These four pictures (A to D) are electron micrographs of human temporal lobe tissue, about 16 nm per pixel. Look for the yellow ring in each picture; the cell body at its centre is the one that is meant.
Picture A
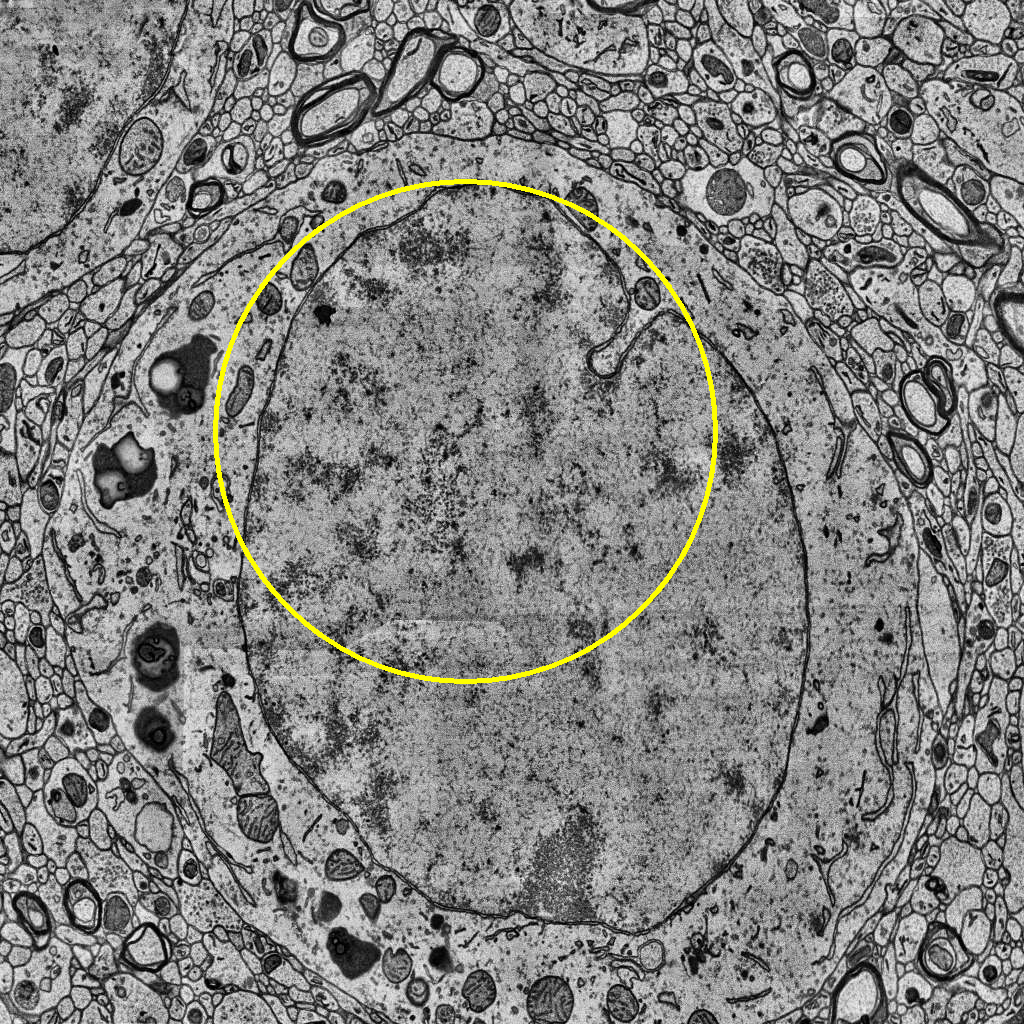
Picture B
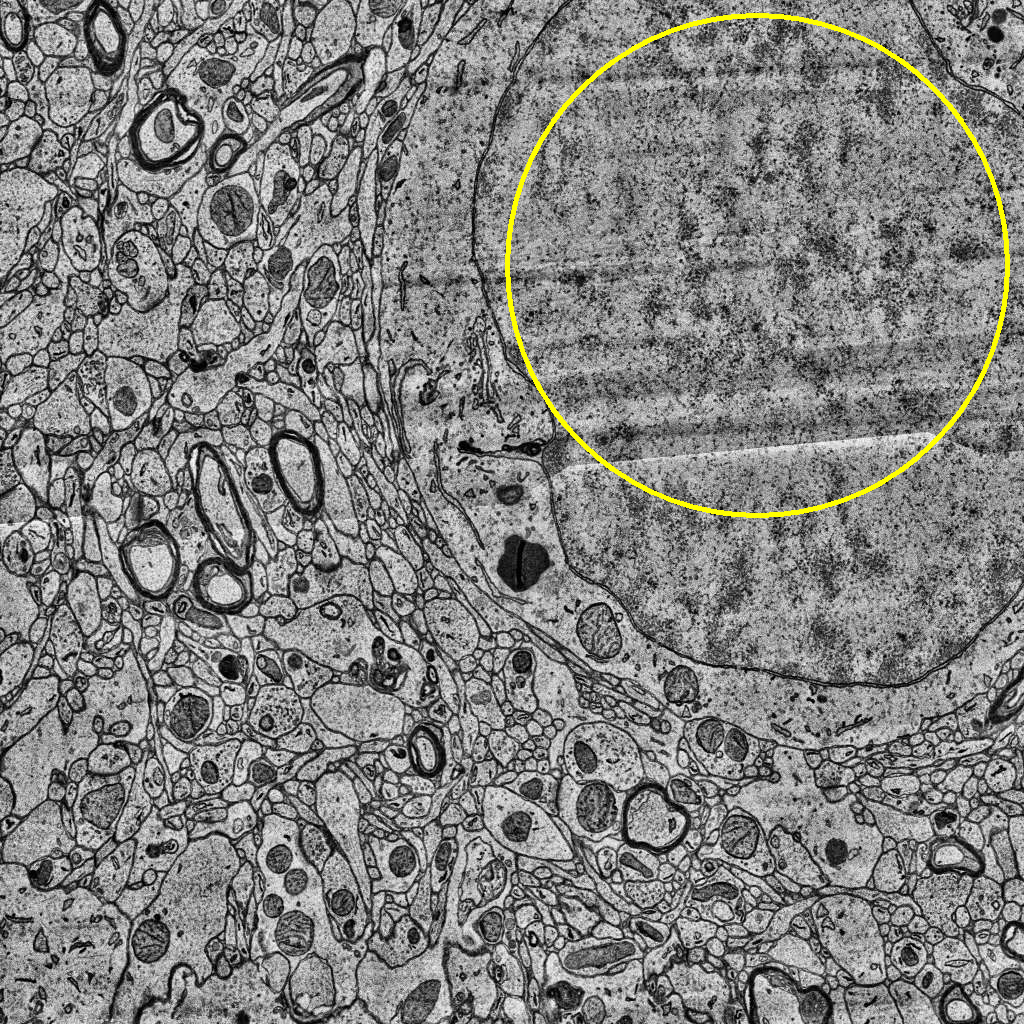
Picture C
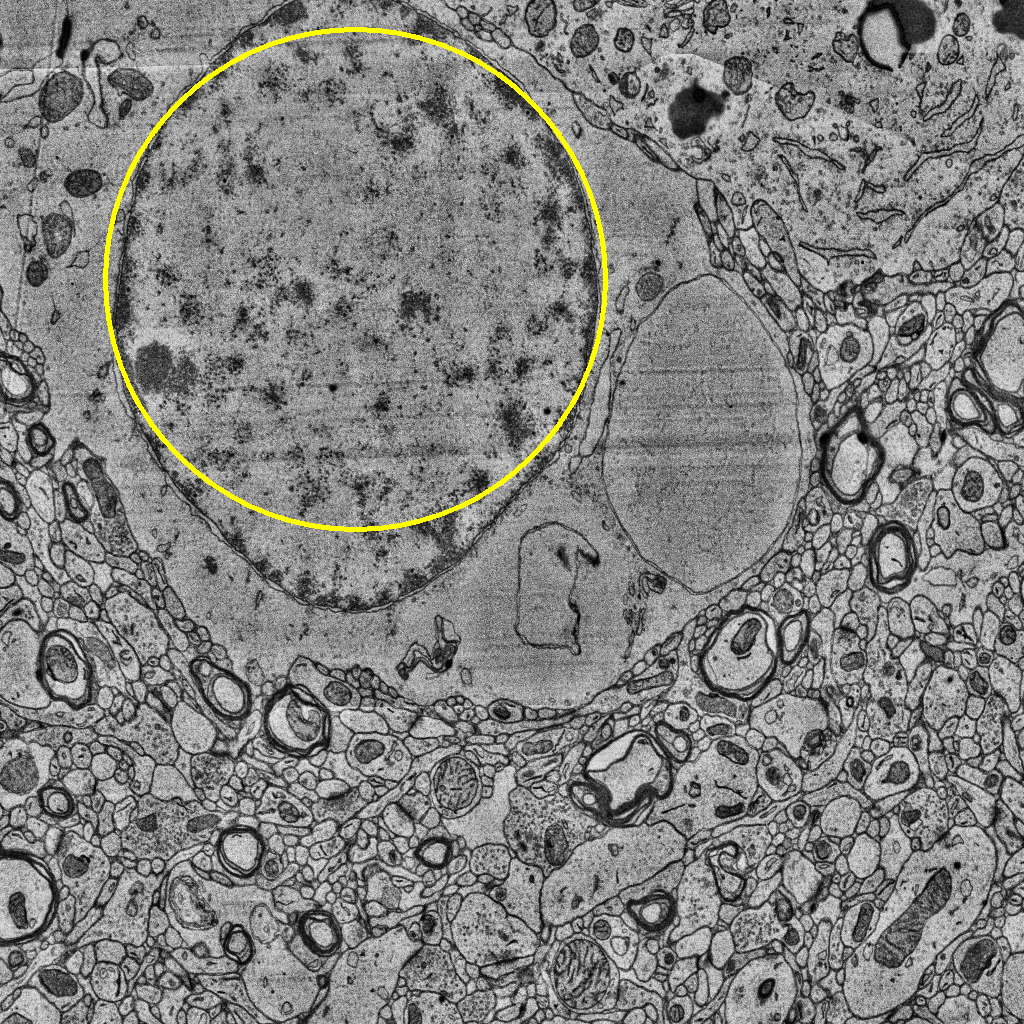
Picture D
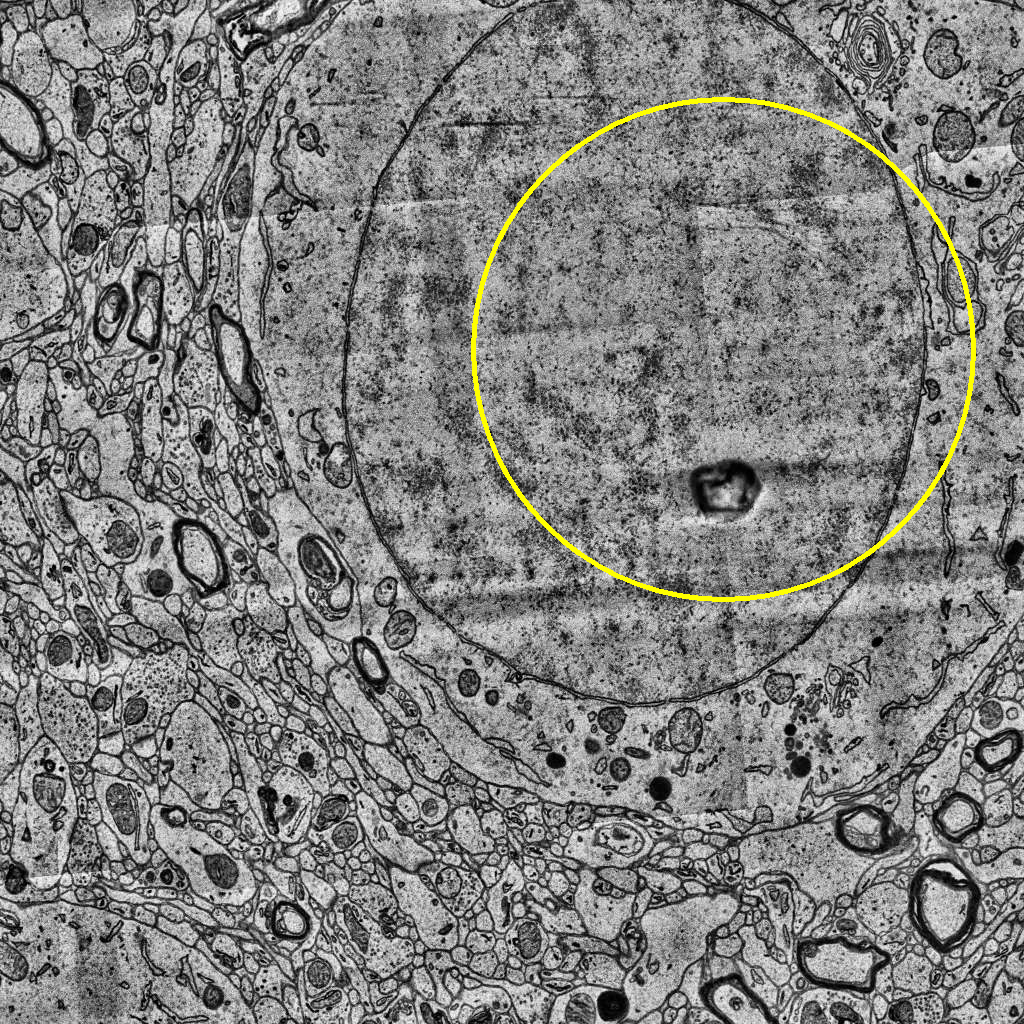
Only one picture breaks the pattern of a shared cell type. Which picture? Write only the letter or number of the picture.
C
